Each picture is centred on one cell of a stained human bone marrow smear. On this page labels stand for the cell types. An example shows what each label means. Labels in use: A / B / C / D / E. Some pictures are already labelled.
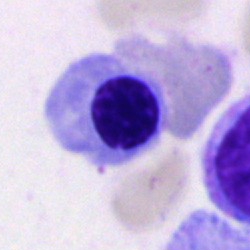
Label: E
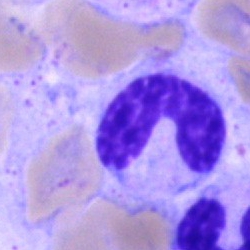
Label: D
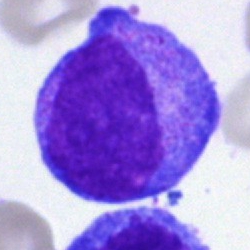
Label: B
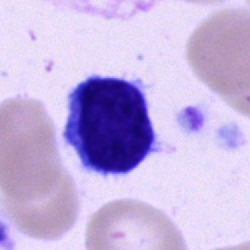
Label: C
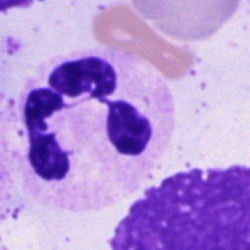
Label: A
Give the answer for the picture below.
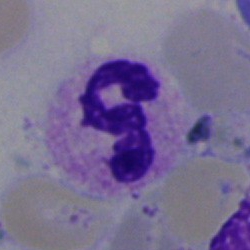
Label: A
